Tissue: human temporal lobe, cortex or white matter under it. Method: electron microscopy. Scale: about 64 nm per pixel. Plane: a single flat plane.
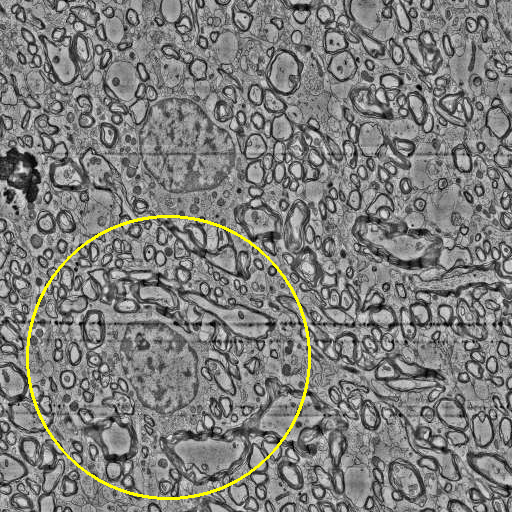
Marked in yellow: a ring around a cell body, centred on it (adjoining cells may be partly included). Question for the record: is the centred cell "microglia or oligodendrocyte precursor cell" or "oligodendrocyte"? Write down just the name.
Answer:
oligodendrocyte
